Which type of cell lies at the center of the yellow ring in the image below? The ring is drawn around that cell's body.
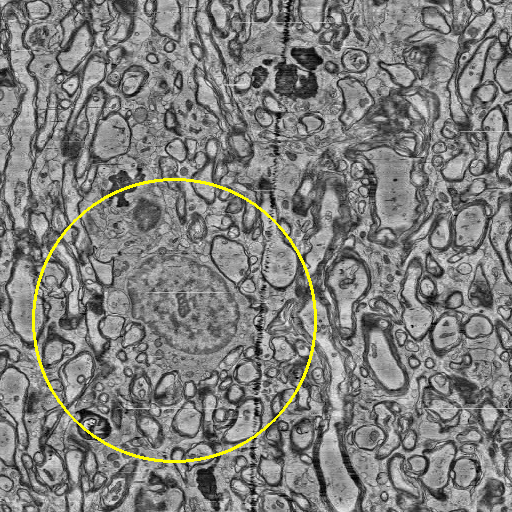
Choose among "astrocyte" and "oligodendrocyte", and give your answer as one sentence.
The cell body at the center belongs to an oligodendrocyte.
